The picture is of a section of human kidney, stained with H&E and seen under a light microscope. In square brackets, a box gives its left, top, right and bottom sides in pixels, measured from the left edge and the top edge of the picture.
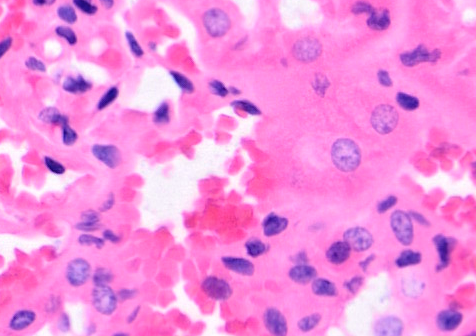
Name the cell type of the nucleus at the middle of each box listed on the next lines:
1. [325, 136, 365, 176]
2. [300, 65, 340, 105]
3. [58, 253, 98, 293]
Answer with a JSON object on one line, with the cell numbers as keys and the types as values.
{"1": "proximal tubule cell", "2": "proximal tubule cell", "3": "collecting duct cell"}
